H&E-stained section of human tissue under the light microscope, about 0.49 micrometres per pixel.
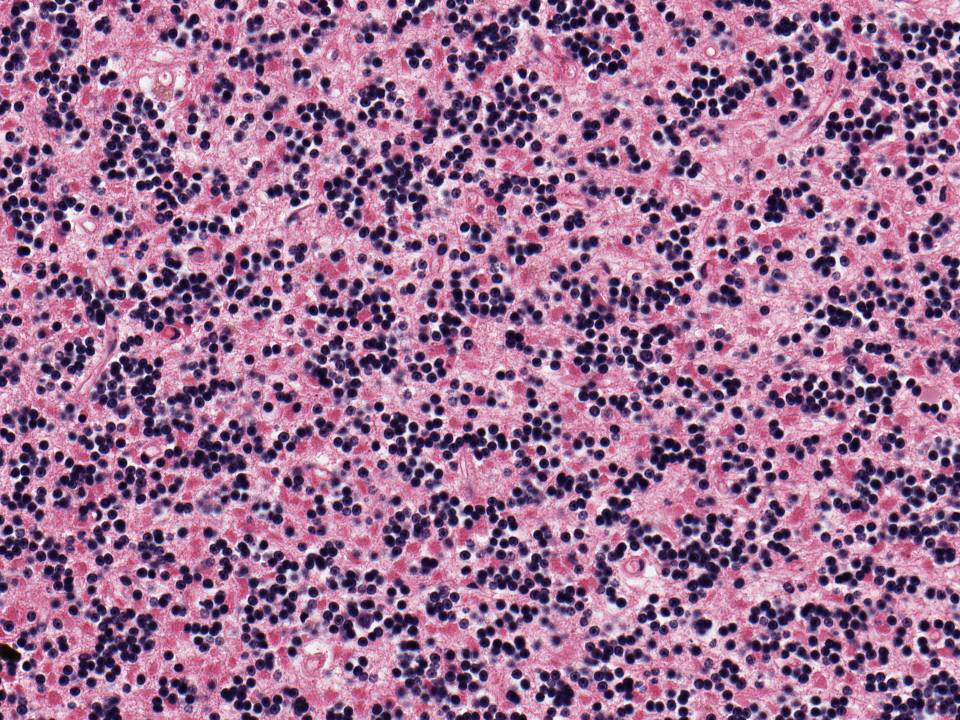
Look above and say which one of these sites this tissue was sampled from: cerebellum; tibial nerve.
cerebellum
